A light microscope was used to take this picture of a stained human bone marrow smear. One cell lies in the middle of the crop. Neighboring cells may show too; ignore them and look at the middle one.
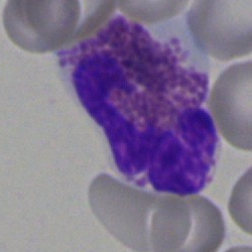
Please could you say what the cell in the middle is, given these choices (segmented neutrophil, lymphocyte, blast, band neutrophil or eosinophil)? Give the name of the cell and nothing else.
eosinophil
